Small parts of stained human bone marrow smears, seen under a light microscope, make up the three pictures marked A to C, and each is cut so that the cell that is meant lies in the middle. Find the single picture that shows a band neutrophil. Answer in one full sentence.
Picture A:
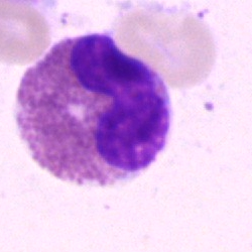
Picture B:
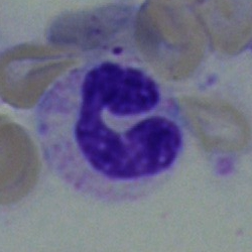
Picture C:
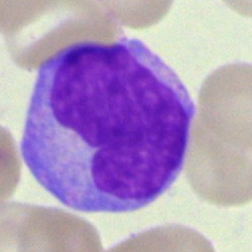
It is picture B that shows the band neutrophil.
